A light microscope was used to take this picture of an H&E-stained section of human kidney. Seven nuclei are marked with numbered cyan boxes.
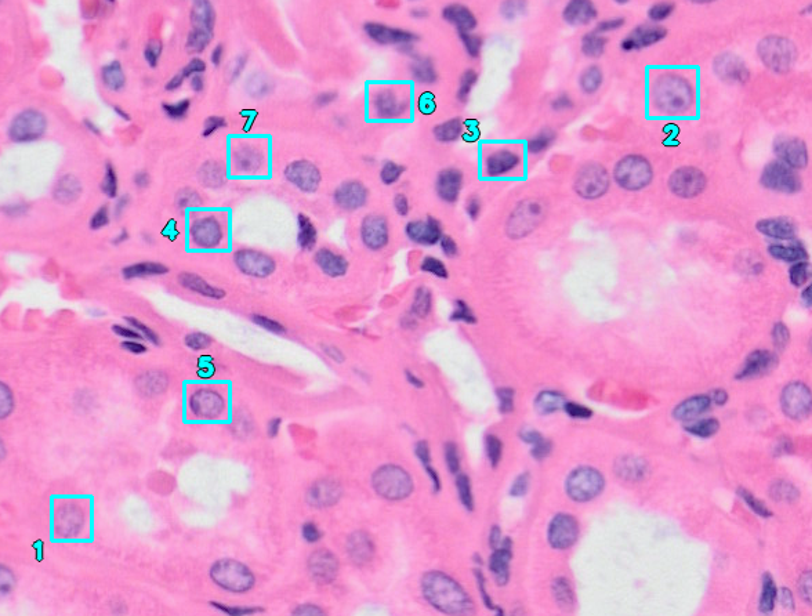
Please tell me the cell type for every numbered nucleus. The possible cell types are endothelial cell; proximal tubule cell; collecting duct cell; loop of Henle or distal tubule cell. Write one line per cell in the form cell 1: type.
cell 1: proximal tubule cell
cell 2: proximal tubule cell
cell 3: collecting duct cell
cell 4: loop of Henle or distal tubule cell
cell 5: proximal tubule cell
cell 6: collecting duct cell
cell 7: loop of Henle or distal tubule cell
